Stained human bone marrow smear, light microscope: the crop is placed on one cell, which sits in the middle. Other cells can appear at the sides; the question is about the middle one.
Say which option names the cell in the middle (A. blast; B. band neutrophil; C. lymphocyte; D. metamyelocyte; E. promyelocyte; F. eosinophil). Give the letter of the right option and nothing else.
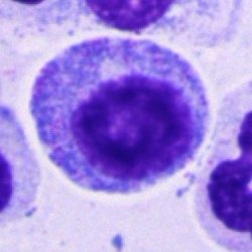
E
